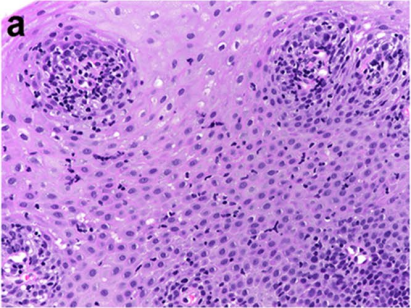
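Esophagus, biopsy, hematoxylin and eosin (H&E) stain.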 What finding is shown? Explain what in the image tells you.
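Stratified squamous epithelium with papillae cut in cross-section. Many small cells with dark irregular nuclei scattered between the squamous cells. The answer: lymphocytic esophagitis pattern of injury.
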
